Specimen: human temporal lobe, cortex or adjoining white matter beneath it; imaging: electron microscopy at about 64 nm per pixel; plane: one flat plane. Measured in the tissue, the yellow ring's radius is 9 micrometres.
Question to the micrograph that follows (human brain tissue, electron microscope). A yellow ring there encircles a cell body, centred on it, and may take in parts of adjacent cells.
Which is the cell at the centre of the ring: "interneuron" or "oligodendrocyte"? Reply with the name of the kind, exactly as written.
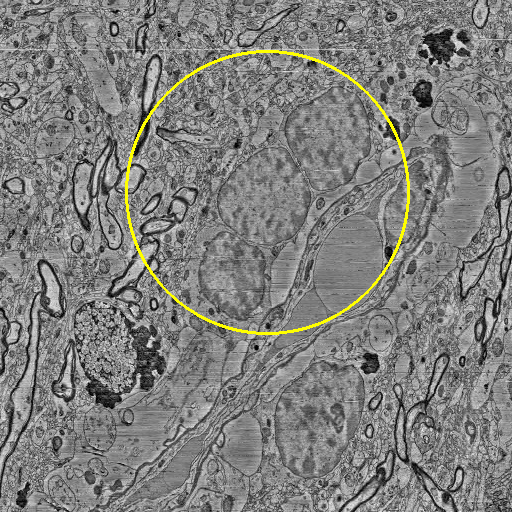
oligodendrocyte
